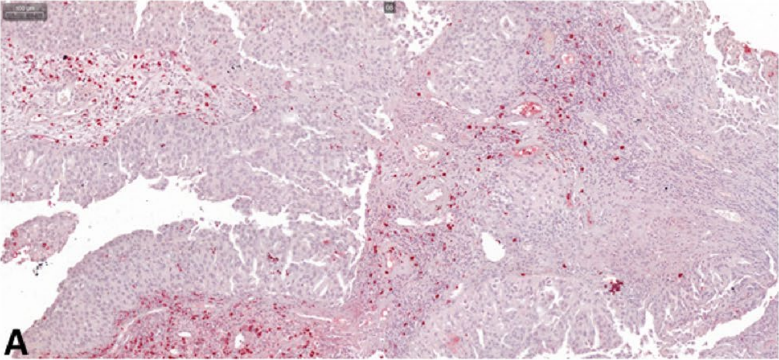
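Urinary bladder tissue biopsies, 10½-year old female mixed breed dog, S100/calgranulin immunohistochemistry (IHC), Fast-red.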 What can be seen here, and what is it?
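Broad, crowded sheets and fronds of epithelial cells with blue-purple nuclei fill most of the field, separated by strands of loose stroma with small vessels. Scattered small cells stained bright red lie mainly within the stroma between the epithelial sheets and around vessels, with fewer among the epithelial cells. The thickened, disorganised epithelium fits a urothelial carcinoma with moderate numbers of infiltrating inflammatory cells.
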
